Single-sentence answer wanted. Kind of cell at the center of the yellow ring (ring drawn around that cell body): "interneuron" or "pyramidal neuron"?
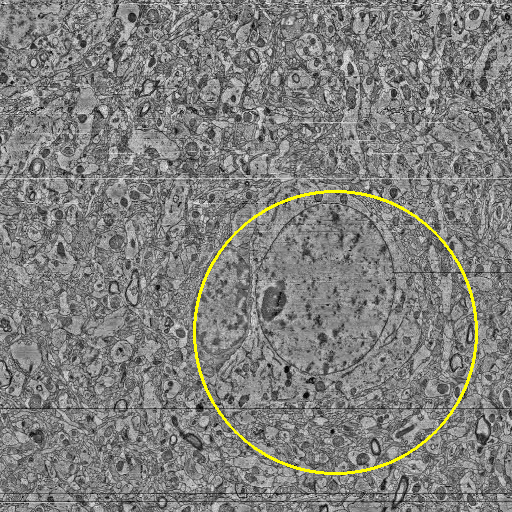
The cell centered in the ring is a pyramidal neuron.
